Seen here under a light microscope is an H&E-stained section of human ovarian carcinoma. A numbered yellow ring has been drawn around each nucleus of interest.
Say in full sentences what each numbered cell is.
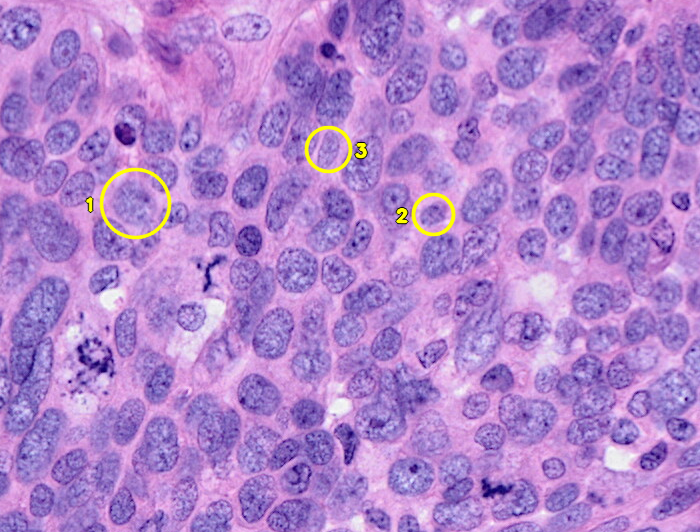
Cell 1 is a carcinoma cell, cell 2 is a macrophage or monocyte and cell 3 is a carcinoma cell.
